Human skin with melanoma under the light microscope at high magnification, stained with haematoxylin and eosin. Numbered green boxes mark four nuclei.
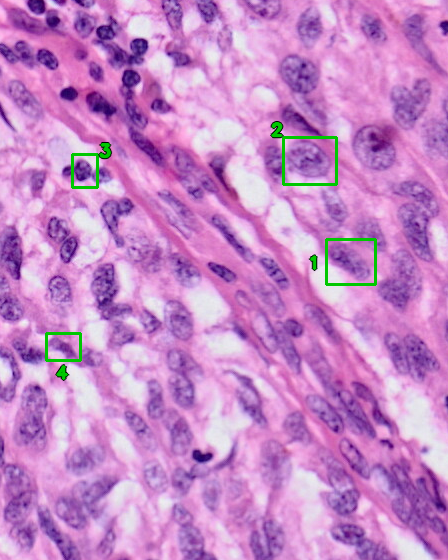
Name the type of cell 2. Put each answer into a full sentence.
The cell that carries the label 2 is a melanoma cell.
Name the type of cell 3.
The cell to which the number 3 is assigned is a lymphocyte.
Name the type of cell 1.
The expected answer is that cell 1 is a melanoma cell.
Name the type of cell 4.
Regarding cell 4, this one is a melanoma cell.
